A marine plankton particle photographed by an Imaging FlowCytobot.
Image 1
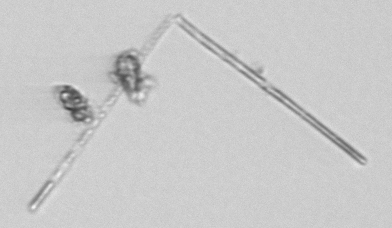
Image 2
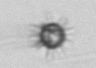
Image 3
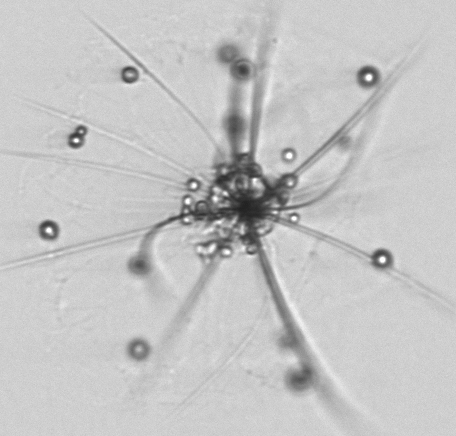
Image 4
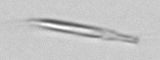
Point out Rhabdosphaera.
That is picture 2.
